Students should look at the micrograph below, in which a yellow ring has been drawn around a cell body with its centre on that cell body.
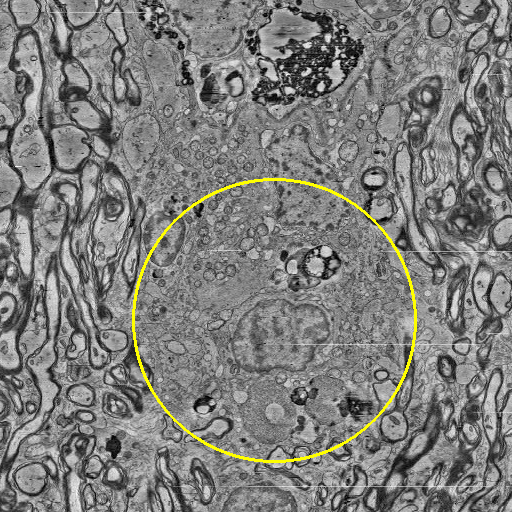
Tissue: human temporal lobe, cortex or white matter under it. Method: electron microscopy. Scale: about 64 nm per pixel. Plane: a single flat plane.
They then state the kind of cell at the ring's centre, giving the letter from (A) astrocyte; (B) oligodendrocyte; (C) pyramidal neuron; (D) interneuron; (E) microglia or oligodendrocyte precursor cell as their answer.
B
